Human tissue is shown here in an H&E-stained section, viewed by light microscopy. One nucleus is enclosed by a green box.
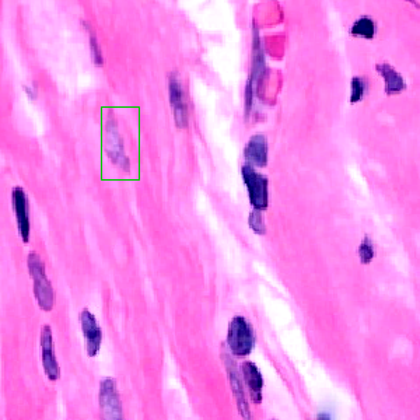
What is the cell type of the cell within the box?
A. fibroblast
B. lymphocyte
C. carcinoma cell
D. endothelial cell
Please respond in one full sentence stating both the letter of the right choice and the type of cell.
Option A, identifying the cell within the box as a fibroblast, is correct.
